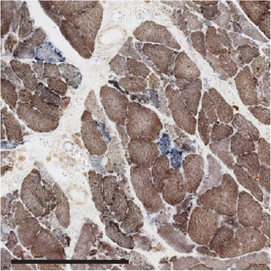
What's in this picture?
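This is a cross-section of muscle in which polygonal fibers are packed together, separated by pale connective tissue spaces. Most fibers stain brown with a mottled texture, and they vary in size, some looking small and angular.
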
